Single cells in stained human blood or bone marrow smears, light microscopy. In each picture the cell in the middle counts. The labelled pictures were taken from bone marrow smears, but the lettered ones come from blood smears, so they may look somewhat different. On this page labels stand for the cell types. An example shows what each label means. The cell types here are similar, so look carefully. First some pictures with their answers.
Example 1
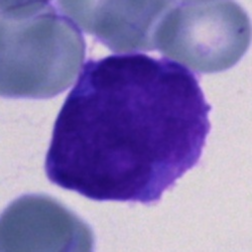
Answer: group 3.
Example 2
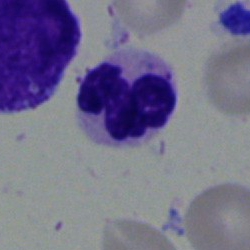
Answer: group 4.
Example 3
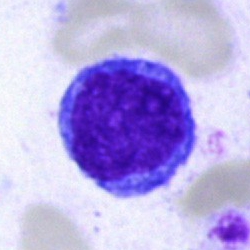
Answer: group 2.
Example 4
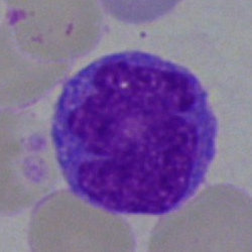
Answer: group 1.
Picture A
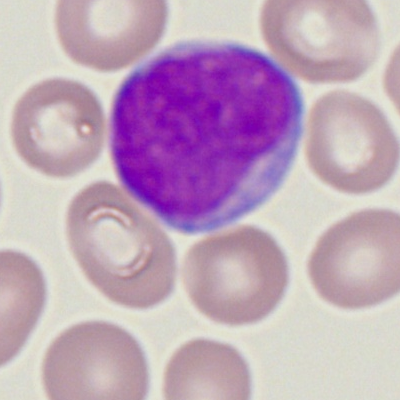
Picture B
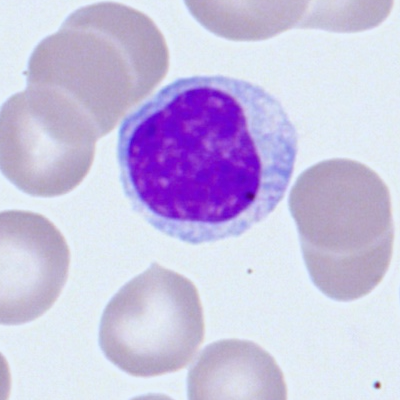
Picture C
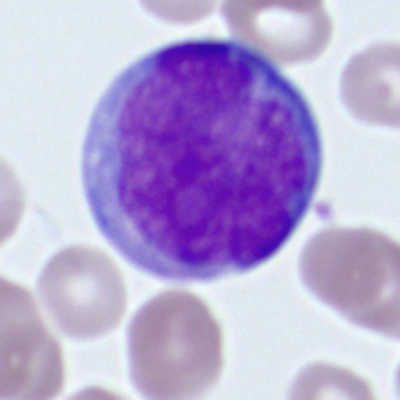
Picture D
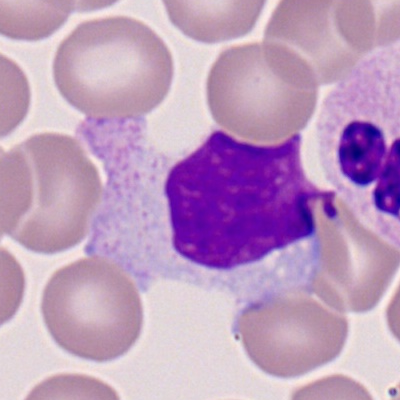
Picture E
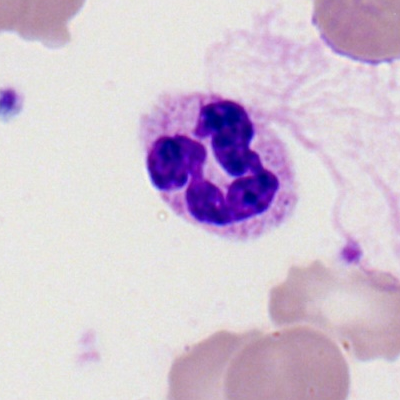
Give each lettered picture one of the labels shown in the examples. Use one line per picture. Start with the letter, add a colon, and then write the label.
A: group 3.
B: group 2.
C: group 3.
D: group 2.
E: group 4.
